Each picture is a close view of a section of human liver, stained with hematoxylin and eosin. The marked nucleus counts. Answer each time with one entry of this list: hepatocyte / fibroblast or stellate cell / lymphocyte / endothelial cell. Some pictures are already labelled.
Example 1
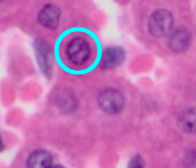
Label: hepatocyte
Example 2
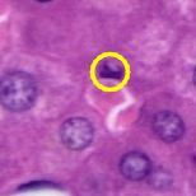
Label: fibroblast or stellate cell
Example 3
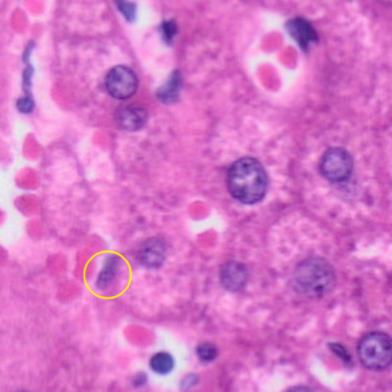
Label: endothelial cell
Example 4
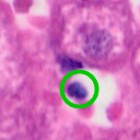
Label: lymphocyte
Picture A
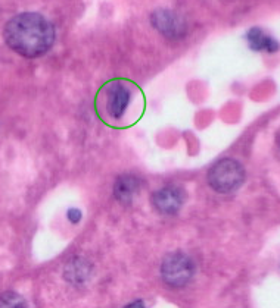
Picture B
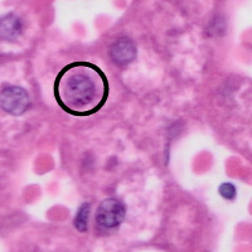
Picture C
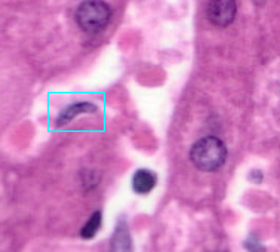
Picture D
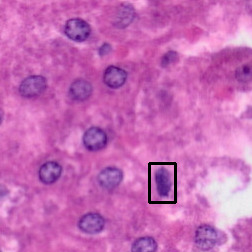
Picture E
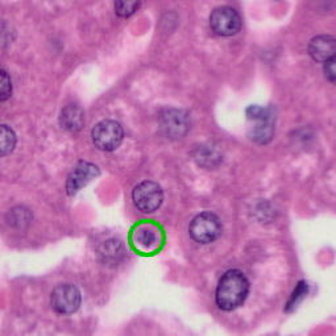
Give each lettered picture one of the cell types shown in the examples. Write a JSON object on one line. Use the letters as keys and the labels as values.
{"A": "fibroblast or stellate cell", "B": "hepatocyte", "C": "endothelial cell", "D": "fibroblast or stellate cell", "E": "fibroblast or stellate cell"}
